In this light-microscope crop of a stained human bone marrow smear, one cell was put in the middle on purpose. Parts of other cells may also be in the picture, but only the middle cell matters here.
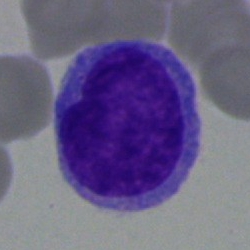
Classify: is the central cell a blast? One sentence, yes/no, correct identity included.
Yes, the centrally placed cell is a blast.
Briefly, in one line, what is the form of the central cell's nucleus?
The nuclear material is gathered into one compact round, oval or kidney-shaped mass.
